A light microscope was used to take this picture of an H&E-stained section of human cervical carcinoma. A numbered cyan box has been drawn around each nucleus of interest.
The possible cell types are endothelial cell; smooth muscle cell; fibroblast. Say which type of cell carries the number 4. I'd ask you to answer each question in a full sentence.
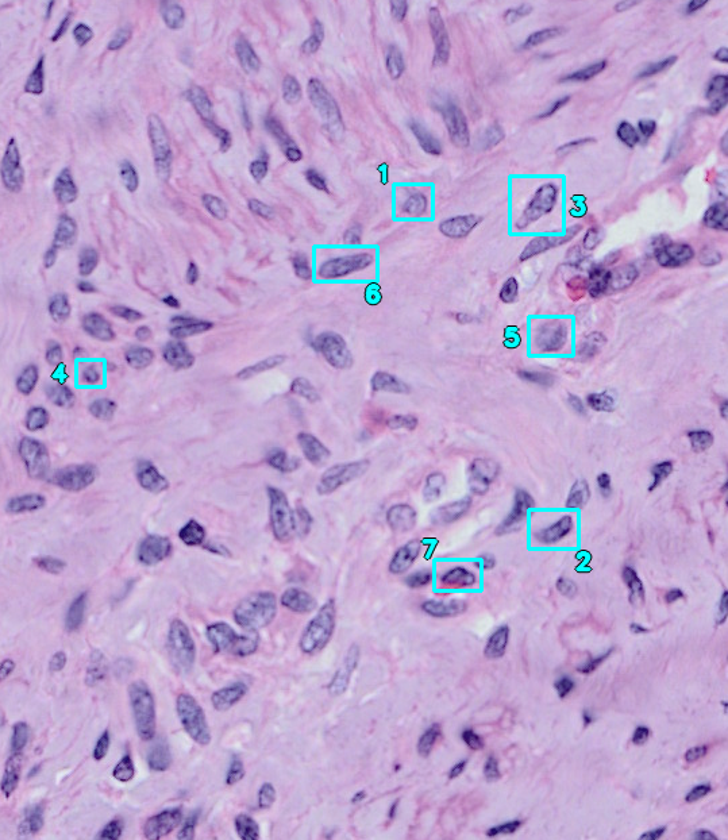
Cell 4 of the marked set is a smooth muscle cell.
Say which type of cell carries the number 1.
Cell 1 of the marked set is a smooth muscle cell.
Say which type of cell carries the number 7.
The cell identified by number 7 is an endothelial cell.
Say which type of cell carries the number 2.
Numbered cell 2 is a fibroblast in this tissue section.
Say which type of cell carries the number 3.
Identified by the number 3, the cell is a fibroblast.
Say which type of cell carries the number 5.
The cell to which the number 5 is assigned is an endothelial cell.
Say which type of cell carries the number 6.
The cell indicated by marker 6 is a smooth muscle cell in this section.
